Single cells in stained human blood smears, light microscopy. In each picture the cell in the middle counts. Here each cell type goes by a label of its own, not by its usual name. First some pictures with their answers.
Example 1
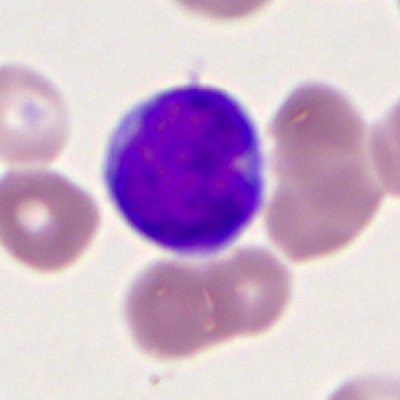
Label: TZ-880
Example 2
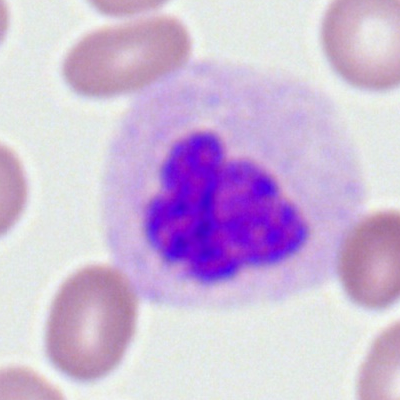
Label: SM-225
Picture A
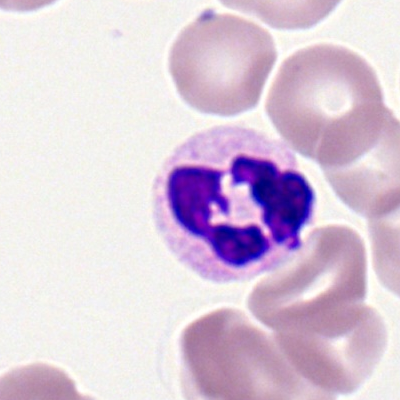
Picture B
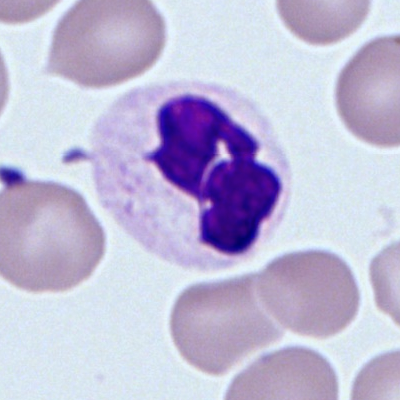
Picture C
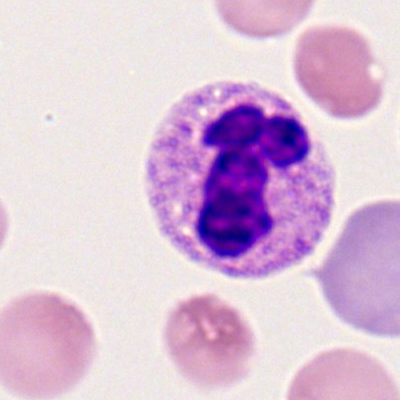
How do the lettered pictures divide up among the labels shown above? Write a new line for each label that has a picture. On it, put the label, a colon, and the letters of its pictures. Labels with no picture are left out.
SM-225: A, B, C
